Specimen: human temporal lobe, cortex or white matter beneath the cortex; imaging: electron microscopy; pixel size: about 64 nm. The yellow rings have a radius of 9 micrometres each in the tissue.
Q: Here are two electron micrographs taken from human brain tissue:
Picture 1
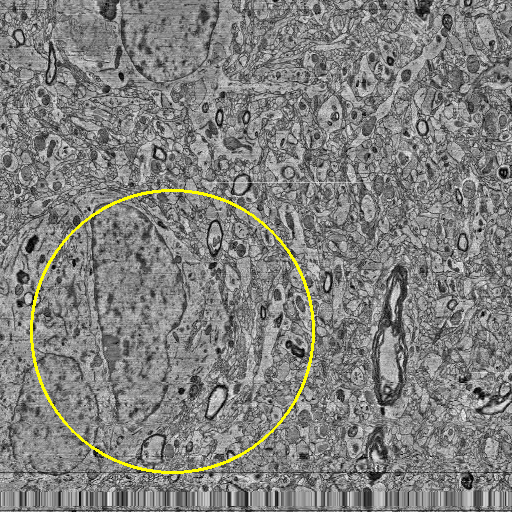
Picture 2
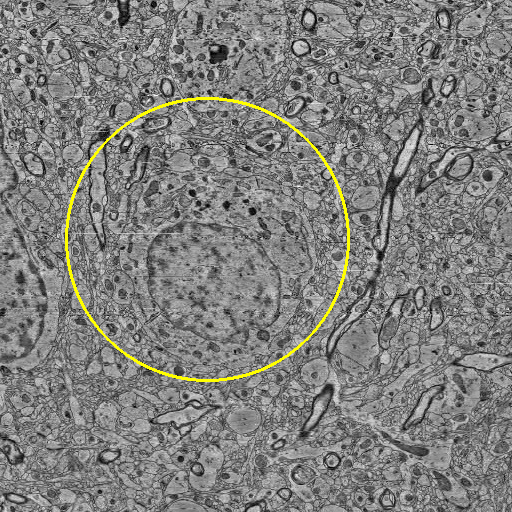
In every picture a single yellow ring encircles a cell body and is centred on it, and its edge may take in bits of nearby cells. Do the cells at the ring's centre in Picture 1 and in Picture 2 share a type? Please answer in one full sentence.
No, the cells at the ring's centre in Picture 1 and Picture 2 are of two types.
